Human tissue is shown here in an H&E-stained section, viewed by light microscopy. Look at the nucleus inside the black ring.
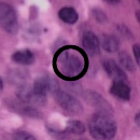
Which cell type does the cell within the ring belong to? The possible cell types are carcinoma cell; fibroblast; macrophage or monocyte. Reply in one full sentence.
The expected answer is simply that the cell within the ring is a carcinoma cell.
